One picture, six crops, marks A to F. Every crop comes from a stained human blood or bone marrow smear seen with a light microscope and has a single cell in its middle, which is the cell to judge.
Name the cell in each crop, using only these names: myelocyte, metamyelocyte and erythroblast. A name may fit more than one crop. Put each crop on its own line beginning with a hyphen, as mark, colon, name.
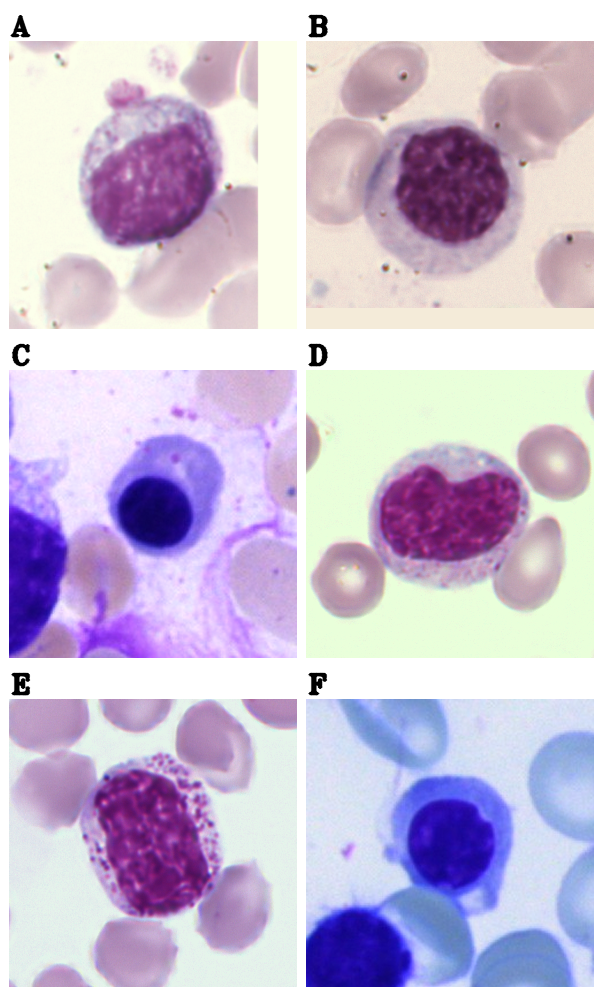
- A: myelocyte
- B: myelocyte
- C: erythroblast
- D: metamyelocyte
- E: metamyelocyte
- F: erythroblast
